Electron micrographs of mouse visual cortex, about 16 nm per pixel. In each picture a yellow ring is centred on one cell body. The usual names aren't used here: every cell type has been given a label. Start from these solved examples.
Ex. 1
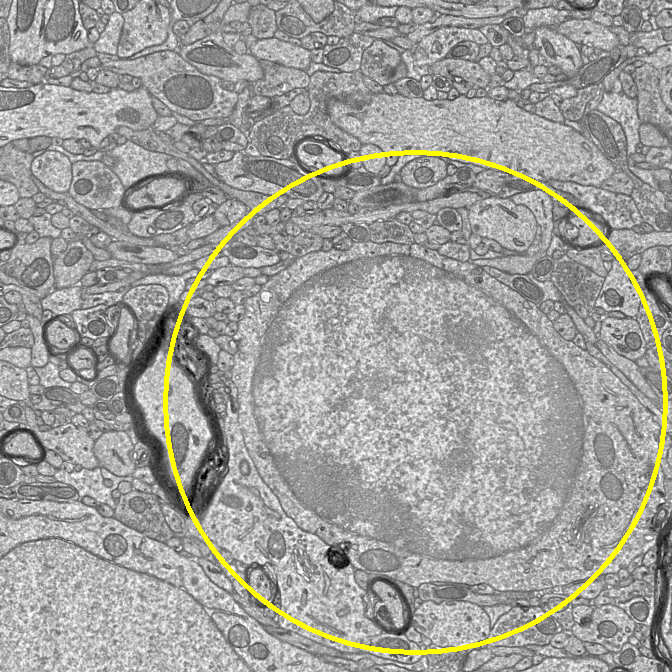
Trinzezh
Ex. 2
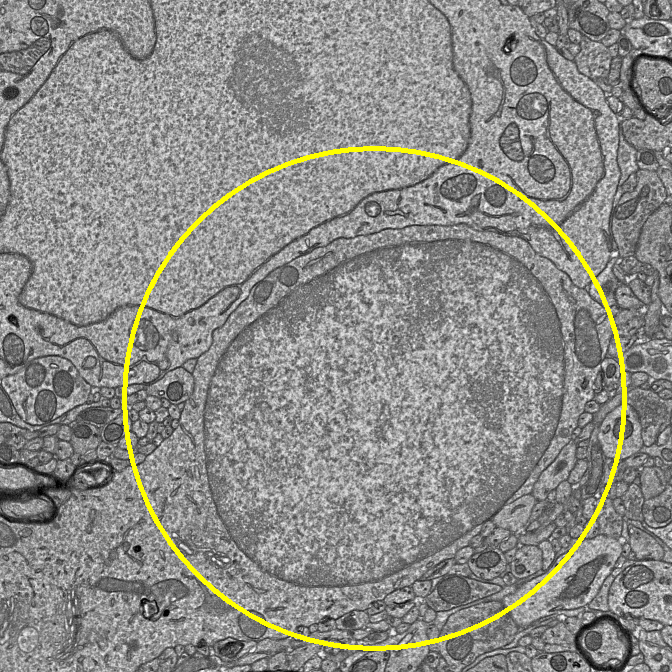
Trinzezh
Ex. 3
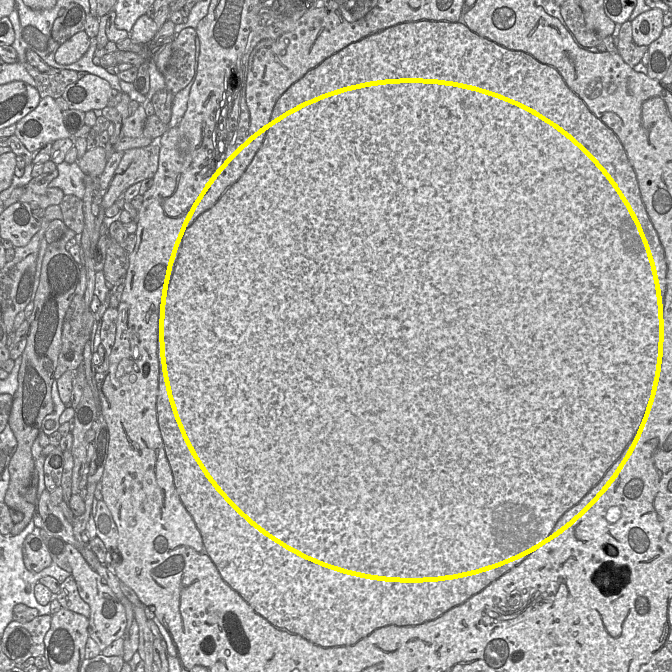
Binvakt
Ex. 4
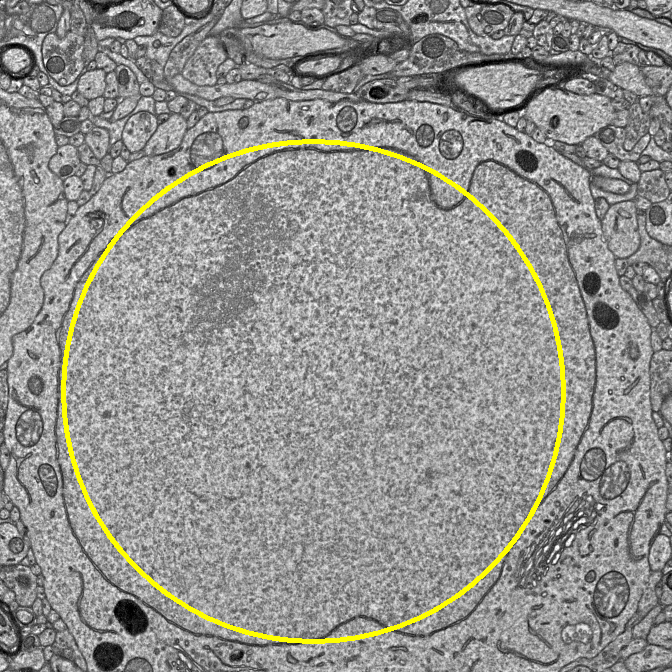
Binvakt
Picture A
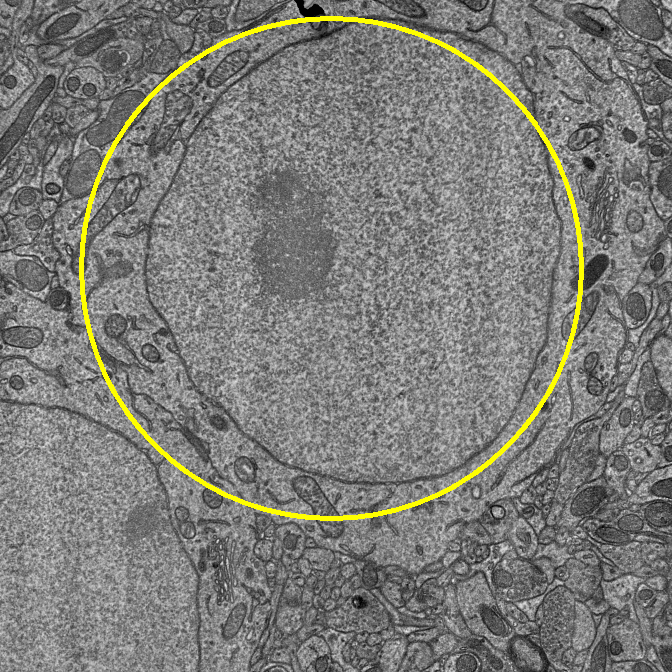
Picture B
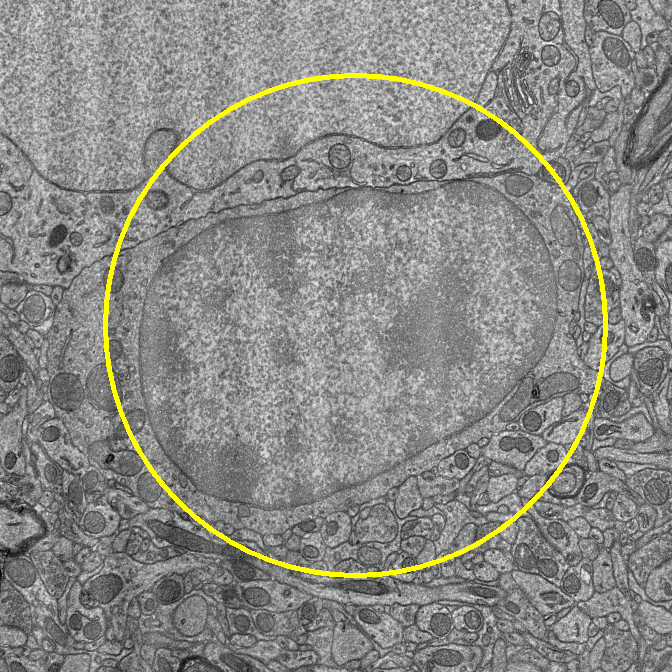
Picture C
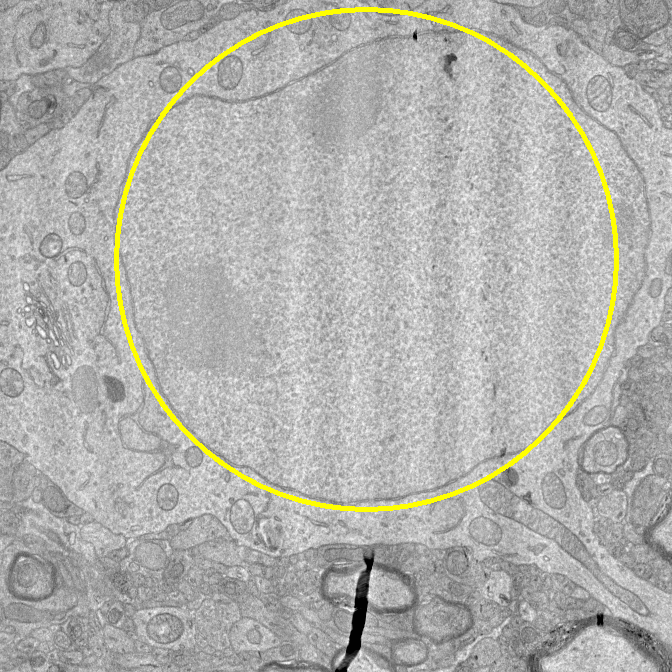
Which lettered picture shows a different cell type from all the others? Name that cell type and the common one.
Different: B, Trinzezh. Others: Binvakt.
